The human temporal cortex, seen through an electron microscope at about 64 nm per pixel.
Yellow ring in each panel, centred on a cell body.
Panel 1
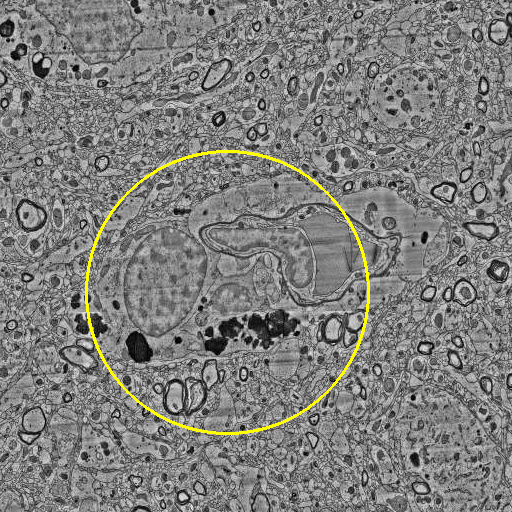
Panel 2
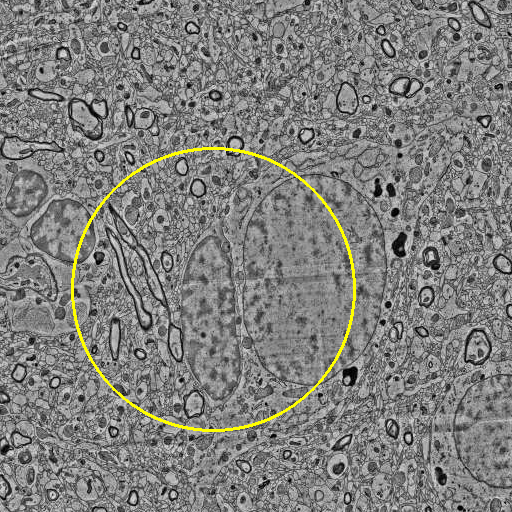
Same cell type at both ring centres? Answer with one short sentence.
Yes, both cells are of the same type.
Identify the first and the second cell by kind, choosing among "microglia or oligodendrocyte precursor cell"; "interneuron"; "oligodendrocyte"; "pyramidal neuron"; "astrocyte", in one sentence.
Each of the two pictures has an oligodendrocyte at the ring centre.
